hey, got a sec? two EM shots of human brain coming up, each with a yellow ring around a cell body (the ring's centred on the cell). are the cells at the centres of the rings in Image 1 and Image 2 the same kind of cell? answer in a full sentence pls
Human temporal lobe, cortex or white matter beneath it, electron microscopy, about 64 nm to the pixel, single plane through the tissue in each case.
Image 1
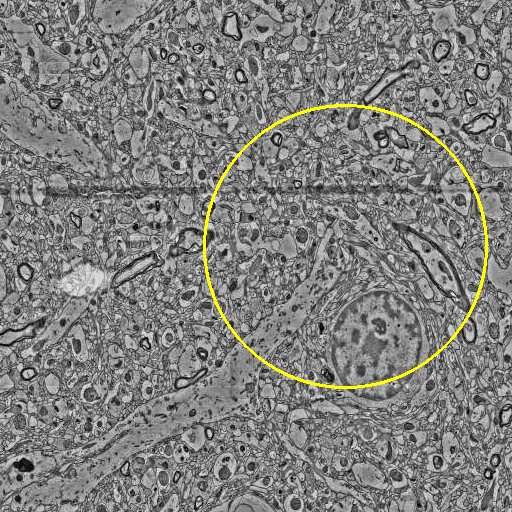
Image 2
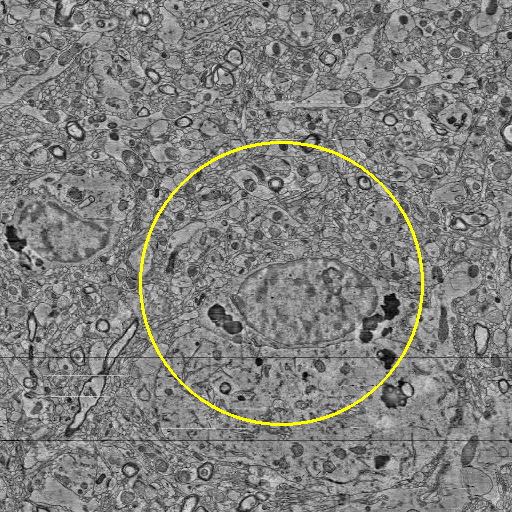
No, they are two kinds of cell.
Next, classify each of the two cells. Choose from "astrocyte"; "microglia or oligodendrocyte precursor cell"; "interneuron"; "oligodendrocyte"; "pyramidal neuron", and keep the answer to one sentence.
In the first picture it is a microglial cell or oligodendrocyte precursor cell; in the second it is an oligodendrocyte.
